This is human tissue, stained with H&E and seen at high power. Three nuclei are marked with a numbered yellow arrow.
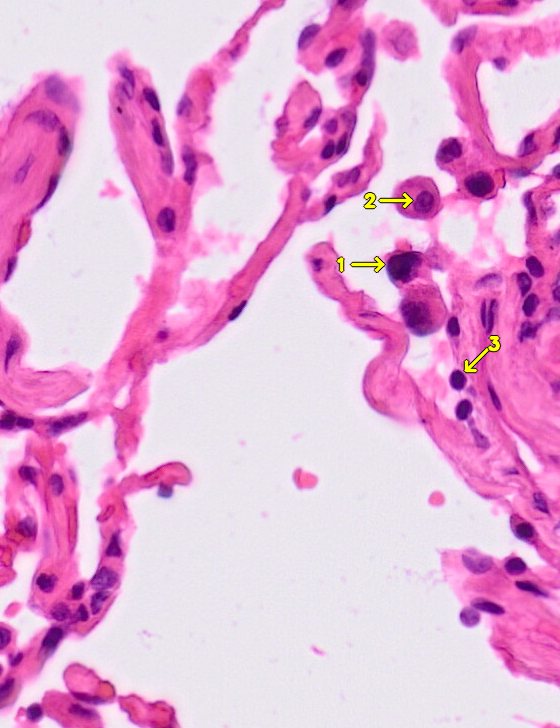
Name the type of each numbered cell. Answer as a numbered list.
1. carcinoma cell
2. macrophage or monocyte
3. lymphocyte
